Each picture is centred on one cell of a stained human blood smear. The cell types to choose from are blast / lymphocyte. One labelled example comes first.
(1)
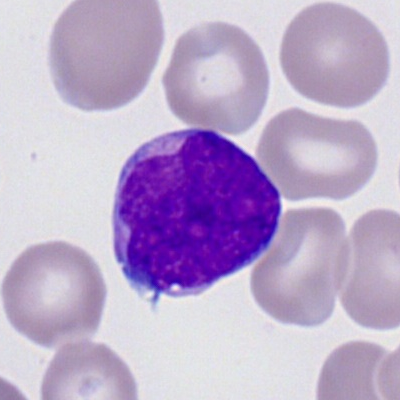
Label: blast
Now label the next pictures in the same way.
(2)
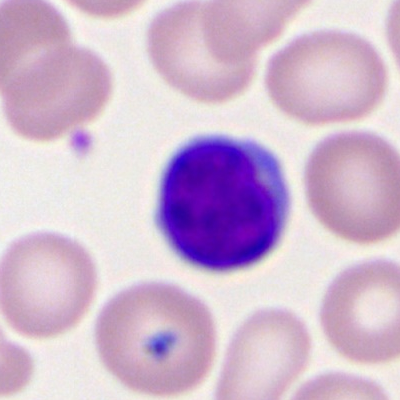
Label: lymphocyte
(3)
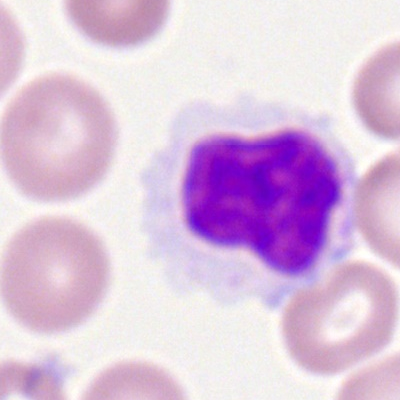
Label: lymphocyte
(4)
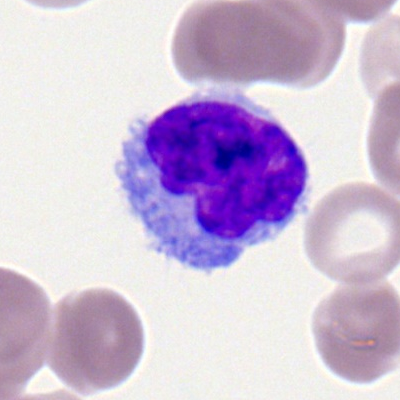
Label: lymphocyte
